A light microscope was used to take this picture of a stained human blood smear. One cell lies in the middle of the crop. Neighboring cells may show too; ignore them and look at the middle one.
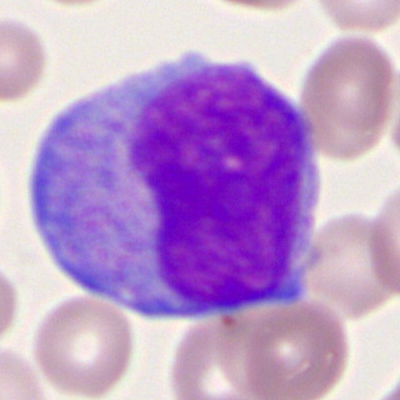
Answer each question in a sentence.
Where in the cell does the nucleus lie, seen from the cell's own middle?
It is shifted toward the right of the cell.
